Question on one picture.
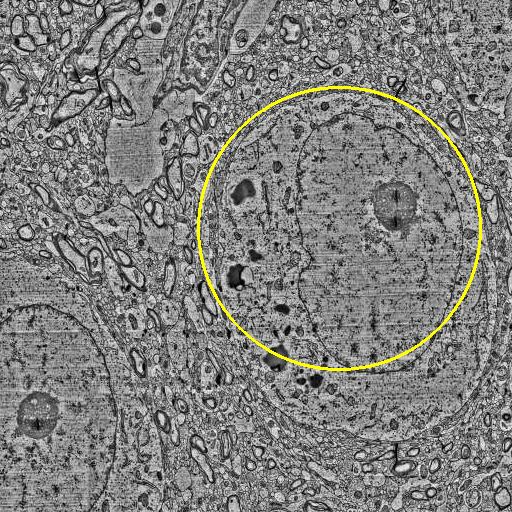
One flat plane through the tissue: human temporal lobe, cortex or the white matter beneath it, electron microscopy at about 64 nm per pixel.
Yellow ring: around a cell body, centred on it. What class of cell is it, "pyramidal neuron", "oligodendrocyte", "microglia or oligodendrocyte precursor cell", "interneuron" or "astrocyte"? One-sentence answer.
This is a pyramidal neuron, the cell the ring is centred on.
